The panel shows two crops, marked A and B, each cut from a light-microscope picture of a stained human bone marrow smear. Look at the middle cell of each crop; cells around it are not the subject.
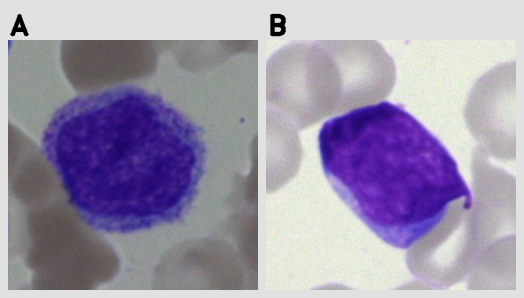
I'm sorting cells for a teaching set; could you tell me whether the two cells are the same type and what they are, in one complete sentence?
No, crop A displays a monocyte and crop B displays a blast.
